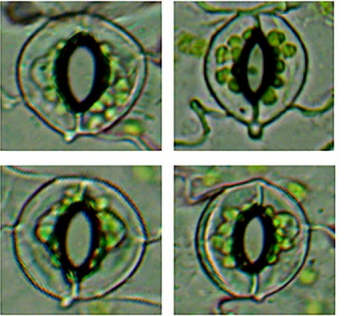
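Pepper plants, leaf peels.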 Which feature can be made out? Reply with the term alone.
Stomatal apertures.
